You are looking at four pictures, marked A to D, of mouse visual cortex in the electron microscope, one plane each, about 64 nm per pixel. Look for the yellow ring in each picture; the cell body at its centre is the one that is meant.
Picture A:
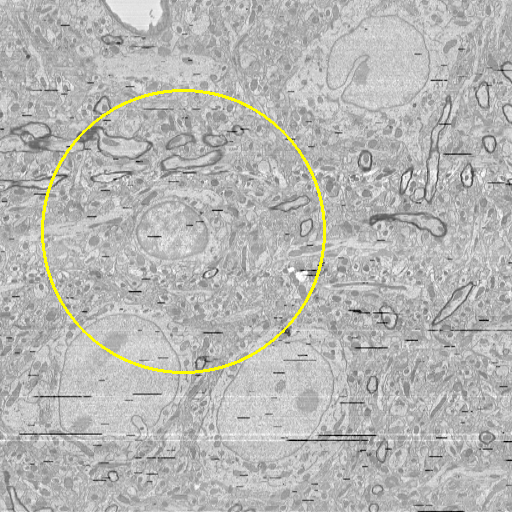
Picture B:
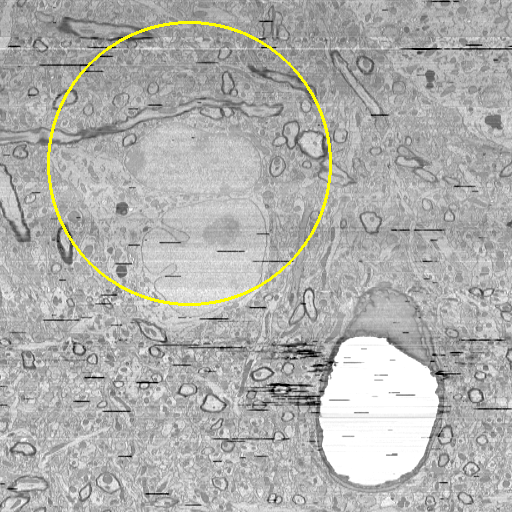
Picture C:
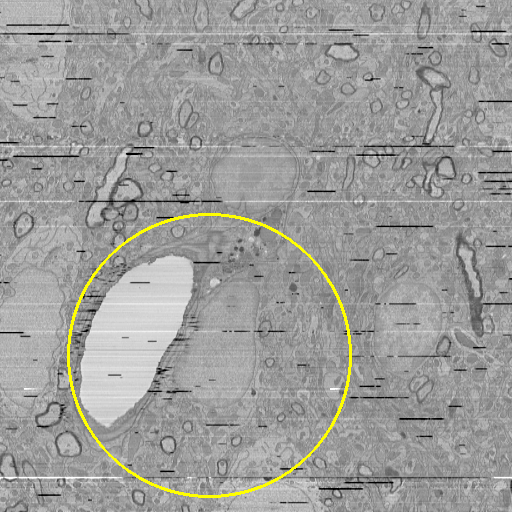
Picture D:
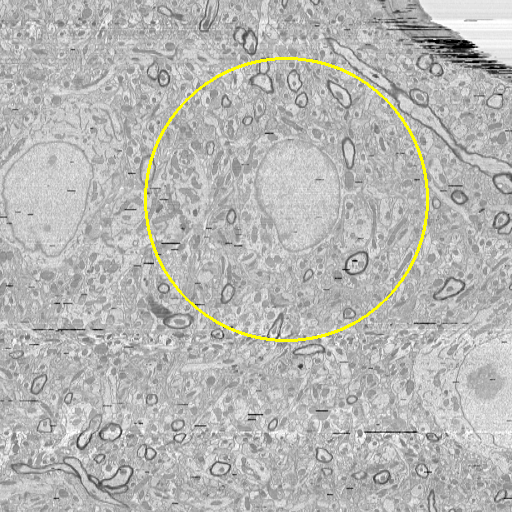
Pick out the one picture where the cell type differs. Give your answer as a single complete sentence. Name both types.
Picture A differs, because its cell is an oligodendrocyte and the rest are astrocytes.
